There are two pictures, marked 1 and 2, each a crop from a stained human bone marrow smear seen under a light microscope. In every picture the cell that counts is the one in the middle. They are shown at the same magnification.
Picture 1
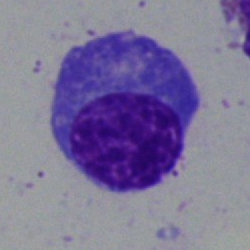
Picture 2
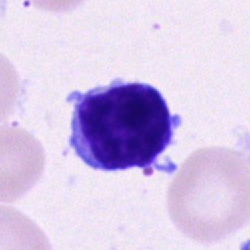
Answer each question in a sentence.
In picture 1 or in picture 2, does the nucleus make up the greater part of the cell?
In picture 2 the nucleus takes up the larger part of its cell.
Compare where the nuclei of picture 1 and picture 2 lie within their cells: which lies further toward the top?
In picture 2 the nucleus is shifted more toward the top.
